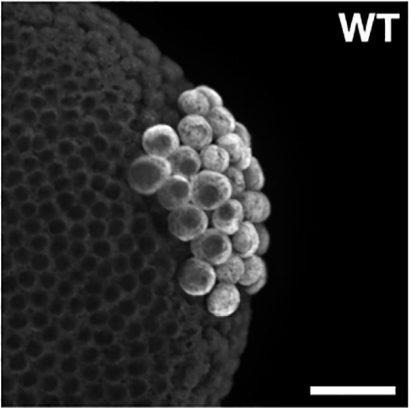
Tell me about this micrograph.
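The end of an embryo is shown, its surface tiled by a regular sheet of small, dimly outlined polygonal cells. At the tip lies a cluster of about thirty large, bright, spherical pole cells, heaped several layers deep outside the surface sheet.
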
